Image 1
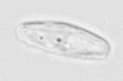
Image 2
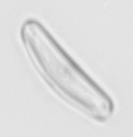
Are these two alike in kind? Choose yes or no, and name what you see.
Yes. Achnanthidium.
